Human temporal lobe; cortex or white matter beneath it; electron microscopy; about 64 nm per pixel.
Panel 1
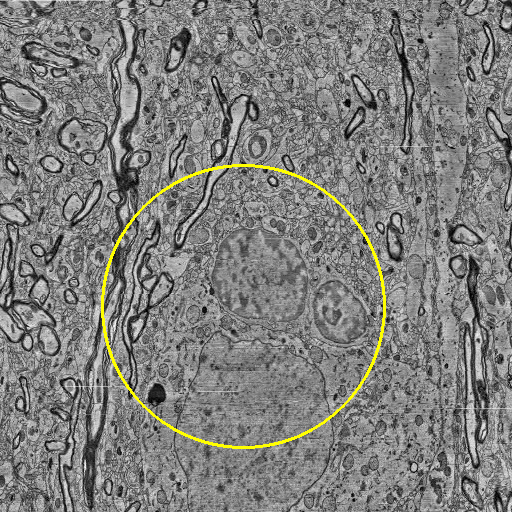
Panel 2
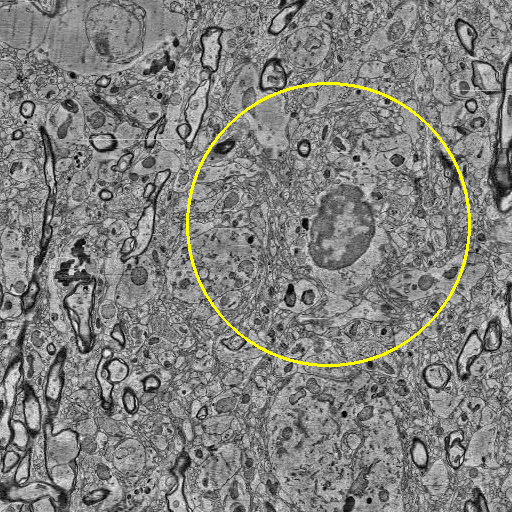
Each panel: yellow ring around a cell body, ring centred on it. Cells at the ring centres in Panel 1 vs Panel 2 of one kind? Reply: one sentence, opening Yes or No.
No, Panel 1 and Panel 2 have cells of two kinds at the ring centres.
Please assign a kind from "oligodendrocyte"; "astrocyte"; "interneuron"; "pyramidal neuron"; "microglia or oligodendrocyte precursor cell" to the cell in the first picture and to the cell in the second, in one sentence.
In the first picture we have an oligodendrocyte, and in the second, a microglial cell or oligodendrocyte precursor cell.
